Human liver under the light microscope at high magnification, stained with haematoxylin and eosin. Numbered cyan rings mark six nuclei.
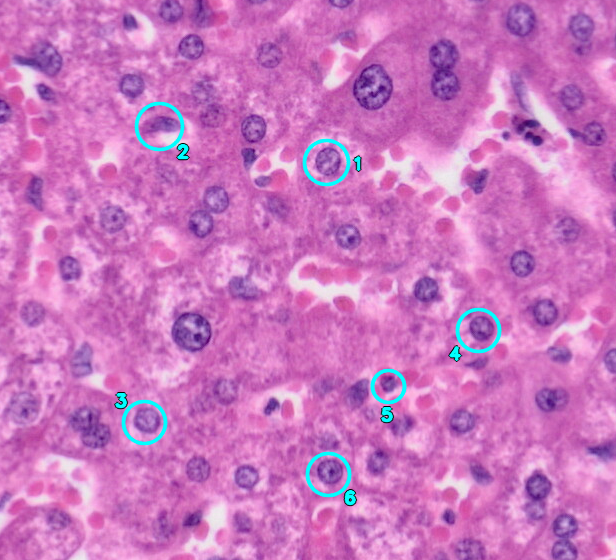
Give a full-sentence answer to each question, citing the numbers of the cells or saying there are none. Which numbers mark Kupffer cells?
Response: cell 2 is a Kupffer cell, and no other numbered cell is.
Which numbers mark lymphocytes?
In contrast to the remaining marked cells, cell 5 is a lymphocyte.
